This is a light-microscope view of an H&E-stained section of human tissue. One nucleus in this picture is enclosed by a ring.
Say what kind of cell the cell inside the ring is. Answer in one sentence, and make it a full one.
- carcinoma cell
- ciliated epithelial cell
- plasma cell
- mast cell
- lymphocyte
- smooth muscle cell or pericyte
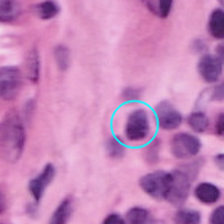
With respect to cell type, the cell inside the ring is a lymphocyte.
